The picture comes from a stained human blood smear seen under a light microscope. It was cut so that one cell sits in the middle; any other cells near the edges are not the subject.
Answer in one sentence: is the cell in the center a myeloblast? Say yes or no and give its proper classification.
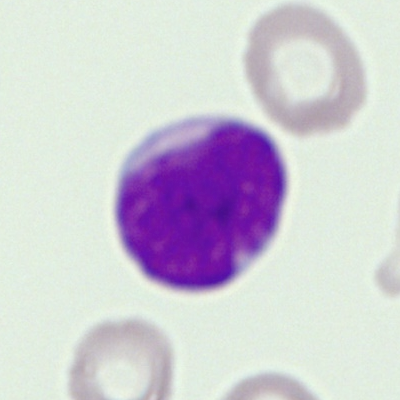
Yes, the cell located at the center is a myeloblast.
